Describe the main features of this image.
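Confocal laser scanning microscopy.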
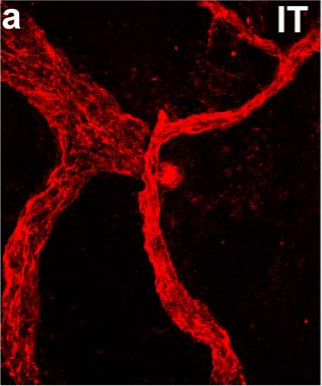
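A few broad vessels run across the field and meet near the middle, branching like the letter X. Their walls show a fine, streaky, fibrous texture where the lining cells lie along the length of each tube. Most of the surrounding tissue is dark, with only scattered faint red specks between the vessels.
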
